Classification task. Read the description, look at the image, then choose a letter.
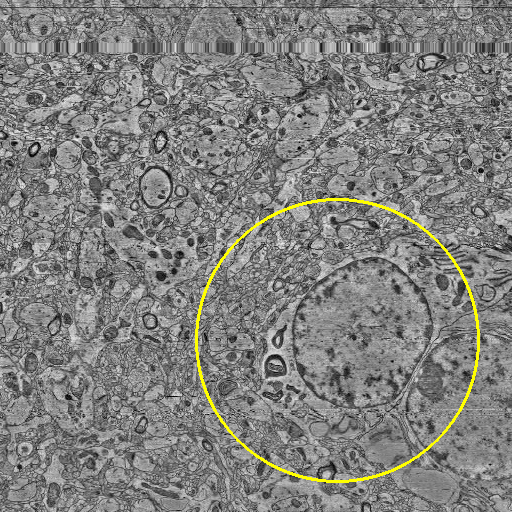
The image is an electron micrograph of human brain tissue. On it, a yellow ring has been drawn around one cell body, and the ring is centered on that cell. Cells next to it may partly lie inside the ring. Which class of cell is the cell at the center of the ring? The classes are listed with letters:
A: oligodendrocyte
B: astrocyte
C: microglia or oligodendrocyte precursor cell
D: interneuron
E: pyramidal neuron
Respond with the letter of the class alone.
B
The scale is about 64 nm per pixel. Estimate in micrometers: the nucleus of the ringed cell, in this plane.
The nucleus appears about 9 micrometres across in this plane.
